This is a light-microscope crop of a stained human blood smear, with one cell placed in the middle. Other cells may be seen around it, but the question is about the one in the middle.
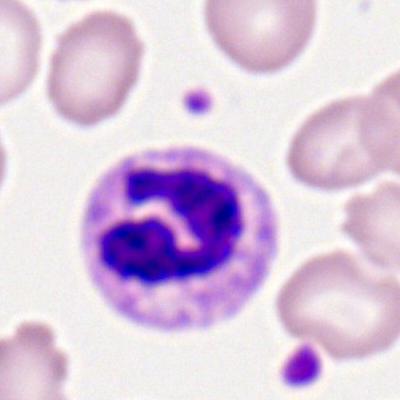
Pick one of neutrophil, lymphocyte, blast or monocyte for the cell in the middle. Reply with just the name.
neutrophil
